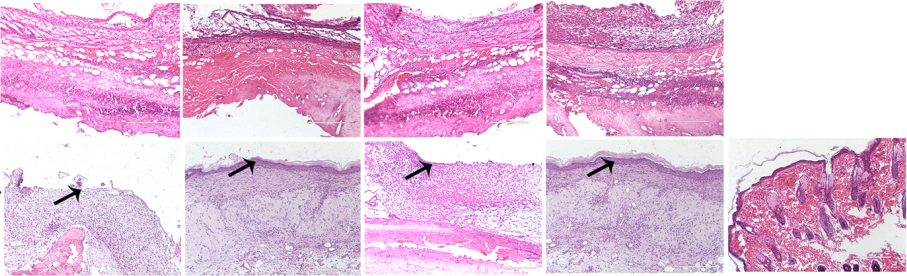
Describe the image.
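These are sections of healing skin wounds and of normal skin, stained with hematoxylin in purple and eosin in pink. In the lower row, arrows mark a thin, darker purple surface layer of keratinocytes that covers a cellular tissue crowded with small purple nuclei. In the upper row, the tissue contains many round, empty-looking spaces of fat cells among pink fibrous bands. The normal skin at the far right shows elongated purple structures in a pink dermis, in the place of hair follicles.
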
